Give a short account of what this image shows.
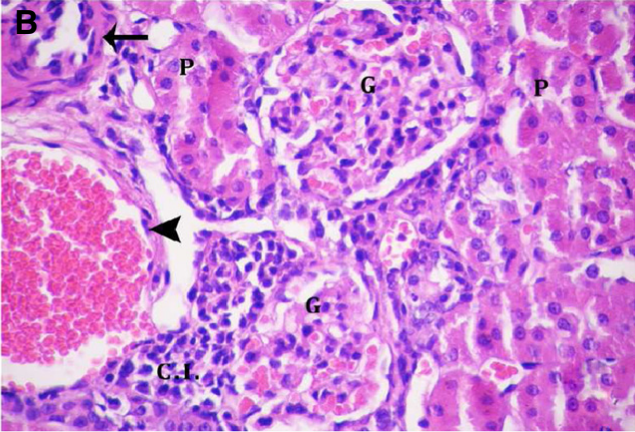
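Renal cortex with renal corpuscles, convoluted tubules and a large blood vessel. The glomeruli are crowded with nuclei and fill their capsules, leaving little capsular space. A large vessel is distended and packed with red blood cells. Between the corpuscles lies a dense collection of small dark nuclei of infiltrating cells. The proximal tubules show irregular, disrupted epithelial lining, and a small vessel at the corner has a thick wall.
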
